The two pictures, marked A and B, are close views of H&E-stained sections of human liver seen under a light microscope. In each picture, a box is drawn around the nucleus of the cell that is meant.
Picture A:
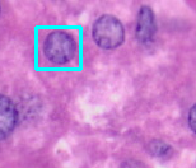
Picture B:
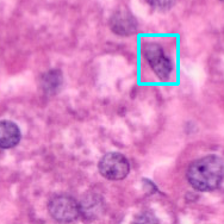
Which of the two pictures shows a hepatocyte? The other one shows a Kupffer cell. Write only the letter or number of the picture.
A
